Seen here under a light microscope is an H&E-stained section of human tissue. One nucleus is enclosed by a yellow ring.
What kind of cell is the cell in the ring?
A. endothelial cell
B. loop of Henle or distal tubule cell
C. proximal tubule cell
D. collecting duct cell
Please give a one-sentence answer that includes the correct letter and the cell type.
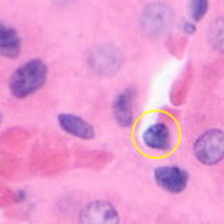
Right answer, option A: the cell in the ring is an endothelial cell.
